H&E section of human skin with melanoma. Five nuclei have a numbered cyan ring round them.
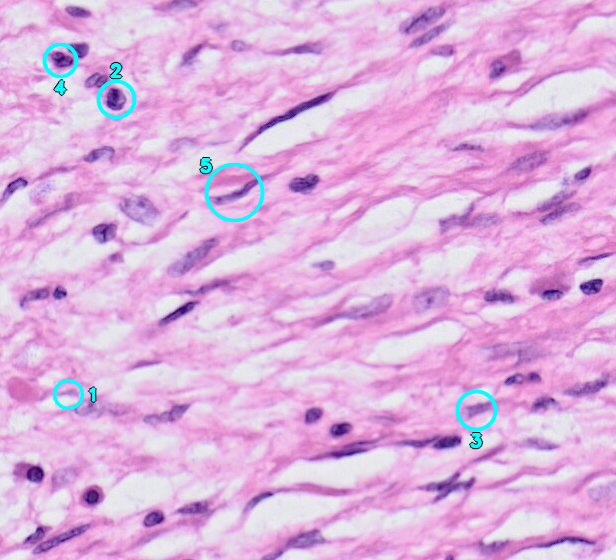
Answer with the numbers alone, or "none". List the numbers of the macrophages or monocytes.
4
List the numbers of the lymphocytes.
2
